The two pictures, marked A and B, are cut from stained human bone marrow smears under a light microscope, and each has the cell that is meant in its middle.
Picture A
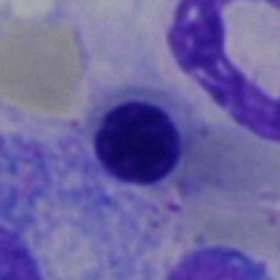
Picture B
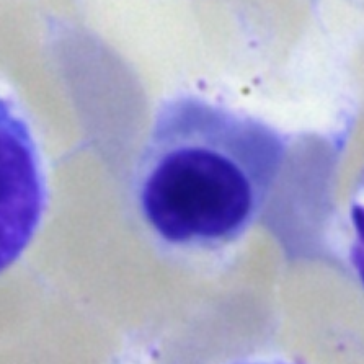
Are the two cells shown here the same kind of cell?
yes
